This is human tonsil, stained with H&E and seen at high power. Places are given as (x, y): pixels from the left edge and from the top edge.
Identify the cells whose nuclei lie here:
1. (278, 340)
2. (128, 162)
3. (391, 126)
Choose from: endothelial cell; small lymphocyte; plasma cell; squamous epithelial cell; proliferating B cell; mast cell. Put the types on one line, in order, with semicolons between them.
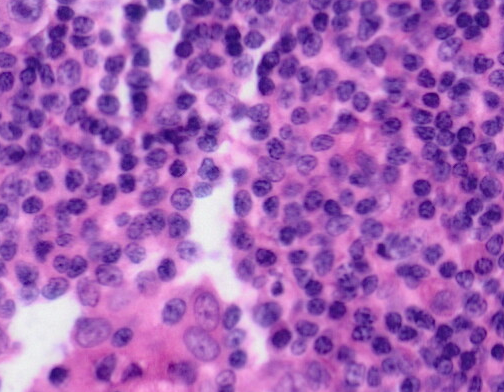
plasma cell; small lymphocyte; plasma cell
